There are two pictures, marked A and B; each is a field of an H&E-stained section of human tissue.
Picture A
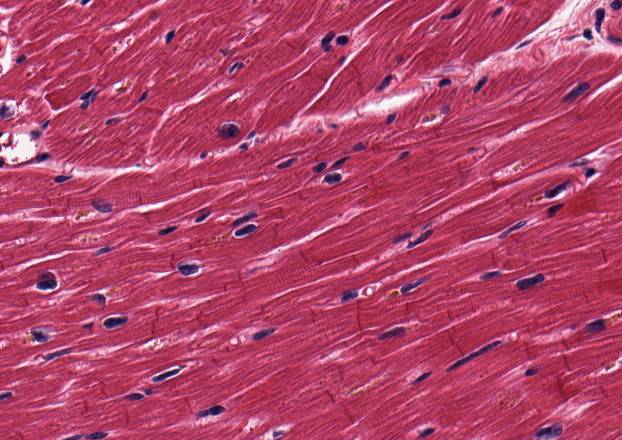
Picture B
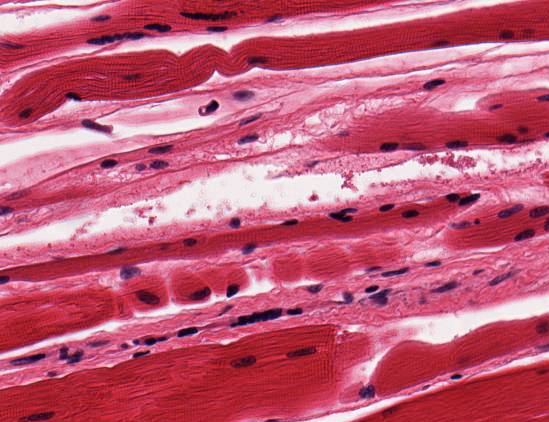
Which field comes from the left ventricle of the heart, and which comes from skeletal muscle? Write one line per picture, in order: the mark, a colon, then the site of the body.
A: left ventricle of the heart
B: skeletal muscle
